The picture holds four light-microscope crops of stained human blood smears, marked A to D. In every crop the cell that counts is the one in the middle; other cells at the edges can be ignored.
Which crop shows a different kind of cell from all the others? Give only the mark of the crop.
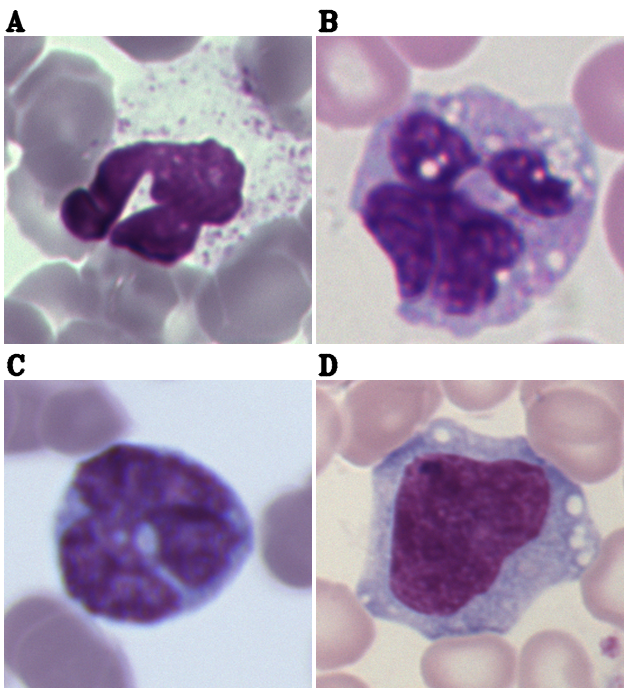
A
